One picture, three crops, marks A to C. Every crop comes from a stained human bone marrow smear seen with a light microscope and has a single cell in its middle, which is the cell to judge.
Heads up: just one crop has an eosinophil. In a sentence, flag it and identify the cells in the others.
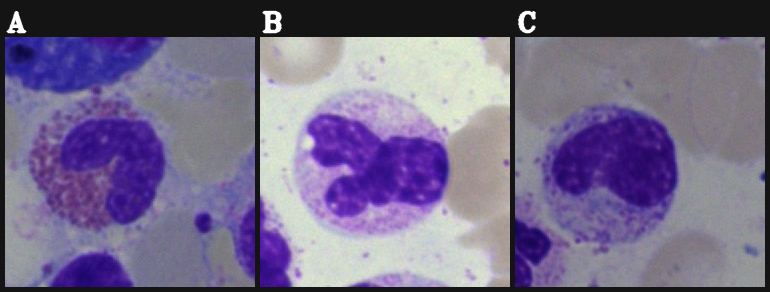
Regarding crop A, it shows an eosinophil, while crop B is a segmented neutrophil and crop C is a band neutrophil.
